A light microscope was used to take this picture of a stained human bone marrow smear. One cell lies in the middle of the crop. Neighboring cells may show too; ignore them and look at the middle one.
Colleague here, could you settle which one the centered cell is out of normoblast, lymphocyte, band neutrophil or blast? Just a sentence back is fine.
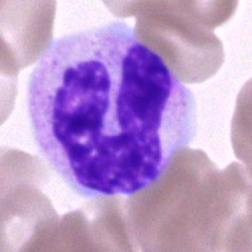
The centrally positioned cell in the crop represents a band neutrophil.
